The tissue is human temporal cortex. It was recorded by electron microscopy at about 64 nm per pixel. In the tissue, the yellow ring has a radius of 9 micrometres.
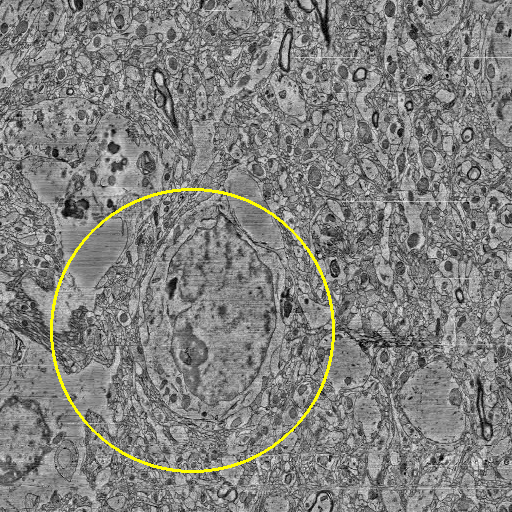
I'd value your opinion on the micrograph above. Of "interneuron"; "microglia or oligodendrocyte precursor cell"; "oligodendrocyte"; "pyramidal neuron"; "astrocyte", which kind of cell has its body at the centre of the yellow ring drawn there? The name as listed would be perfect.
interneuron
